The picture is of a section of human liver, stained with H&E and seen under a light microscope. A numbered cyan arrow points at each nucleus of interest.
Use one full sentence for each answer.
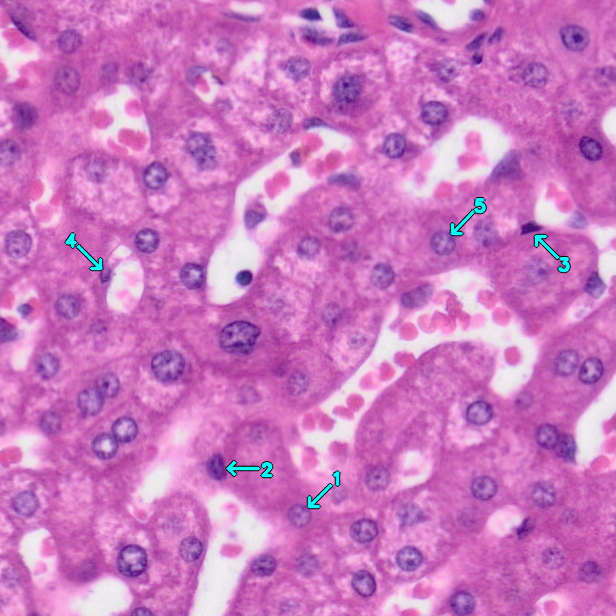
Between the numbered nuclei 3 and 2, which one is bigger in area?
The larger nucleus is 2, at roughly 2.5 times the area of 3.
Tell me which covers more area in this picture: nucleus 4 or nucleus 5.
Nucleus 5 covers more area, about 3 times as much as nucleus 4.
